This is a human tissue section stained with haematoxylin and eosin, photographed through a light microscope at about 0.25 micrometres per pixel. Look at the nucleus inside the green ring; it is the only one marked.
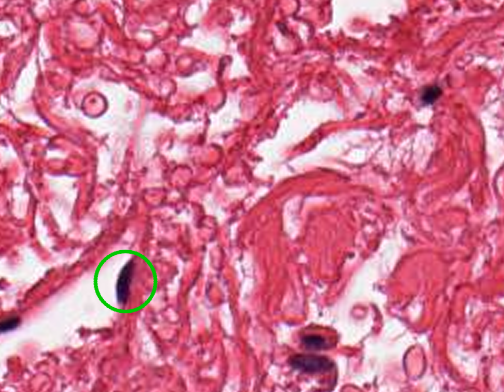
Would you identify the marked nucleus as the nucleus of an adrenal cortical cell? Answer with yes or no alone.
no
